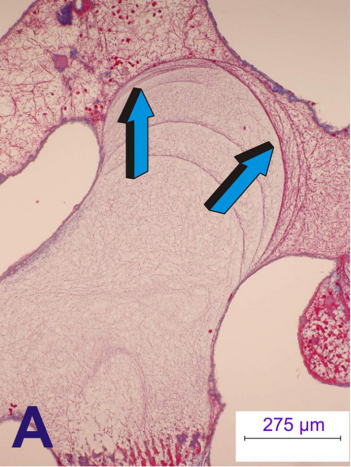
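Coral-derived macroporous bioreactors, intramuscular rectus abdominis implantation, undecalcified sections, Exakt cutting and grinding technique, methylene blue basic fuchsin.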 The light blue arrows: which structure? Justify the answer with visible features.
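Thin concentric curved lines arc across a pale fibrillar space. The arrows point at these arcs near the edge of the space.
Rings.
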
